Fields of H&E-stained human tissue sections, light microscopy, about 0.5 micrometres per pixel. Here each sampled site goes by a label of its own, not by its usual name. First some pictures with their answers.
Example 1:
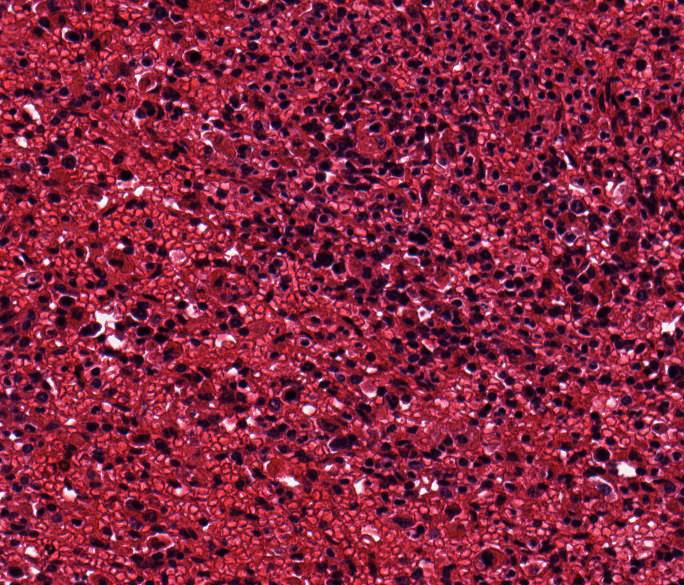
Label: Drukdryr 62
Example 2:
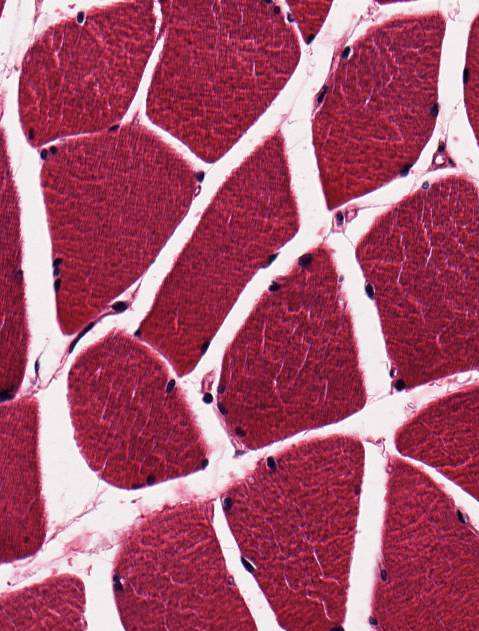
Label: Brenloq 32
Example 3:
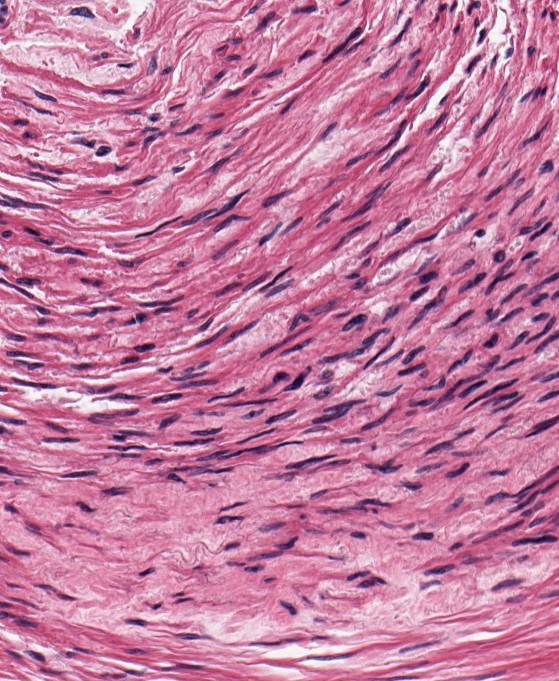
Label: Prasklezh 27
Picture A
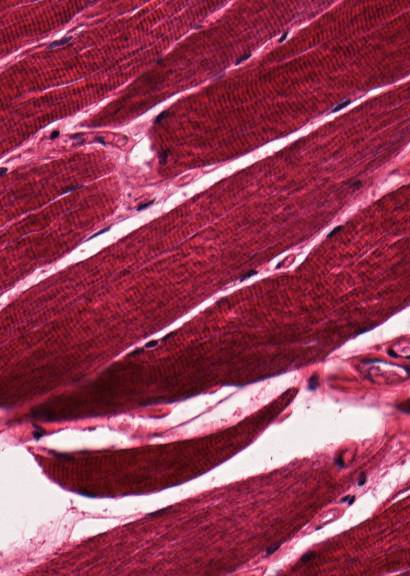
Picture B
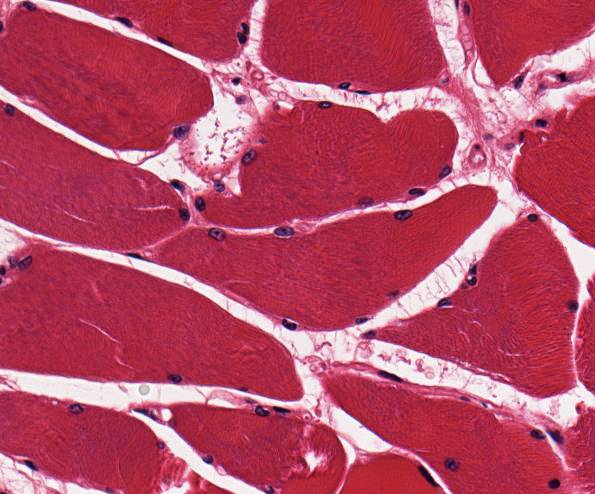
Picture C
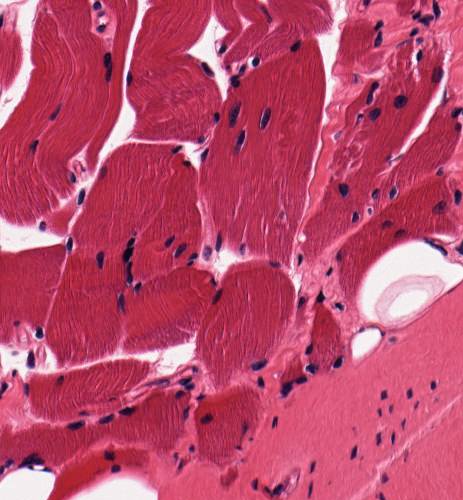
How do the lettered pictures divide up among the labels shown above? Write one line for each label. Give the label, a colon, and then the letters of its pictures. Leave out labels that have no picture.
Brenloq 32: A, B, C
